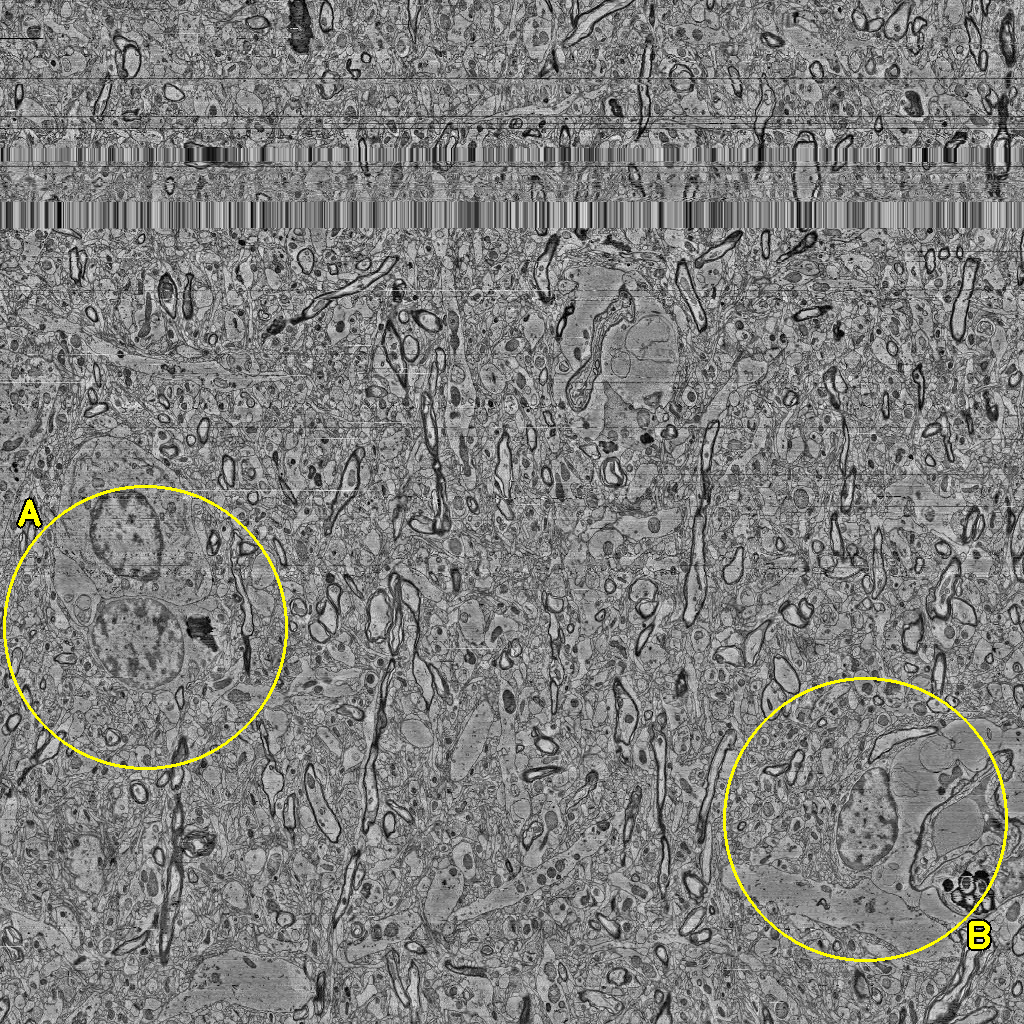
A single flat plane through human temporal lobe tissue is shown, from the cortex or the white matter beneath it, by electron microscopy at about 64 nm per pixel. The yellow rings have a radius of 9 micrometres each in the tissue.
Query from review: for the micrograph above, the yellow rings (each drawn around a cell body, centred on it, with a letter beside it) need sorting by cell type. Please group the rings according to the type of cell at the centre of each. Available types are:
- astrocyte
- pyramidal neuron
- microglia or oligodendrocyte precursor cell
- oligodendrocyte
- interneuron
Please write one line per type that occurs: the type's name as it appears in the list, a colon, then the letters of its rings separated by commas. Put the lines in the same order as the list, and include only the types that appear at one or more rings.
microglia or oligodendrocyte precursor cell: B
oligodendrocyte: A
